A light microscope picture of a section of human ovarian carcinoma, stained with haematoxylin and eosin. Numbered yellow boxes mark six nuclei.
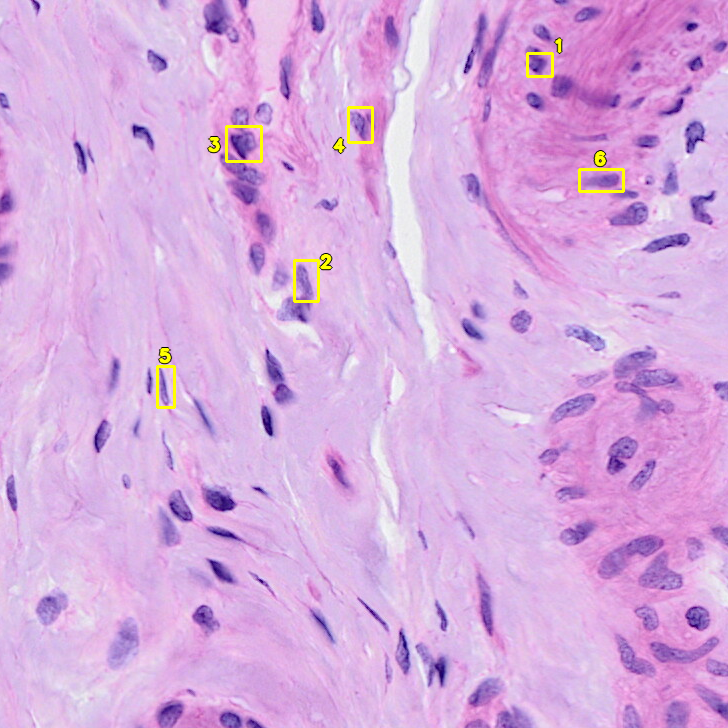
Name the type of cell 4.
smooth muscle cell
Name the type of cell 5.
fibroblast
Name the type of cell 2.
fibroblast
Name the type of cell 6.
smooth muscle cell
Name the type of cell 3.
endothelial cell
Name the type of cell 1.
smooth muscle cell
